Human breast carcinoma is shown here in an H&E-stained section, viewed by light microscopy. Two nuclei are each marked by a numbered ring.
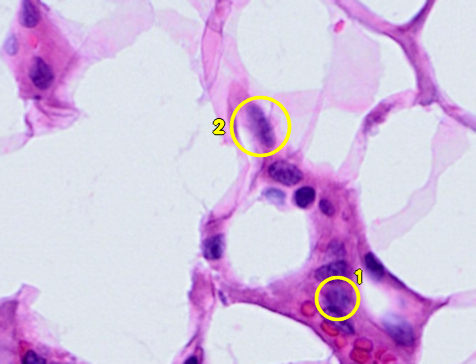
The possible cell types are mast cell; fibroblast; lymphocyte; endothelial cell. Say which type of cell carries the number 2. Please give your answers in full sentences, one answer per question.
The nucleus labeled 2 belongs to a fibroblast.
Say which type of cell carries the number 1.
The marked nucleus 1 is that of an endothelial cell.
